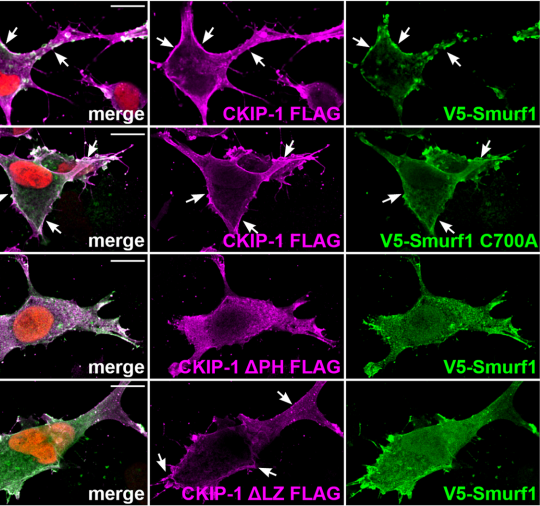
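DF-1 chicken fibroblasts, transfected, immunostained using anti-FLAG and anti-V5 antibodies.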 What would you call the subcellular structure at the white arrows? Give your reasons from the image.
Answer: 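Membrane. The white arrows point at the outer edges of spread cells and their processes. The magenta label is brighter along the cell borders than in the cell interior in the rows with arrows.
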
